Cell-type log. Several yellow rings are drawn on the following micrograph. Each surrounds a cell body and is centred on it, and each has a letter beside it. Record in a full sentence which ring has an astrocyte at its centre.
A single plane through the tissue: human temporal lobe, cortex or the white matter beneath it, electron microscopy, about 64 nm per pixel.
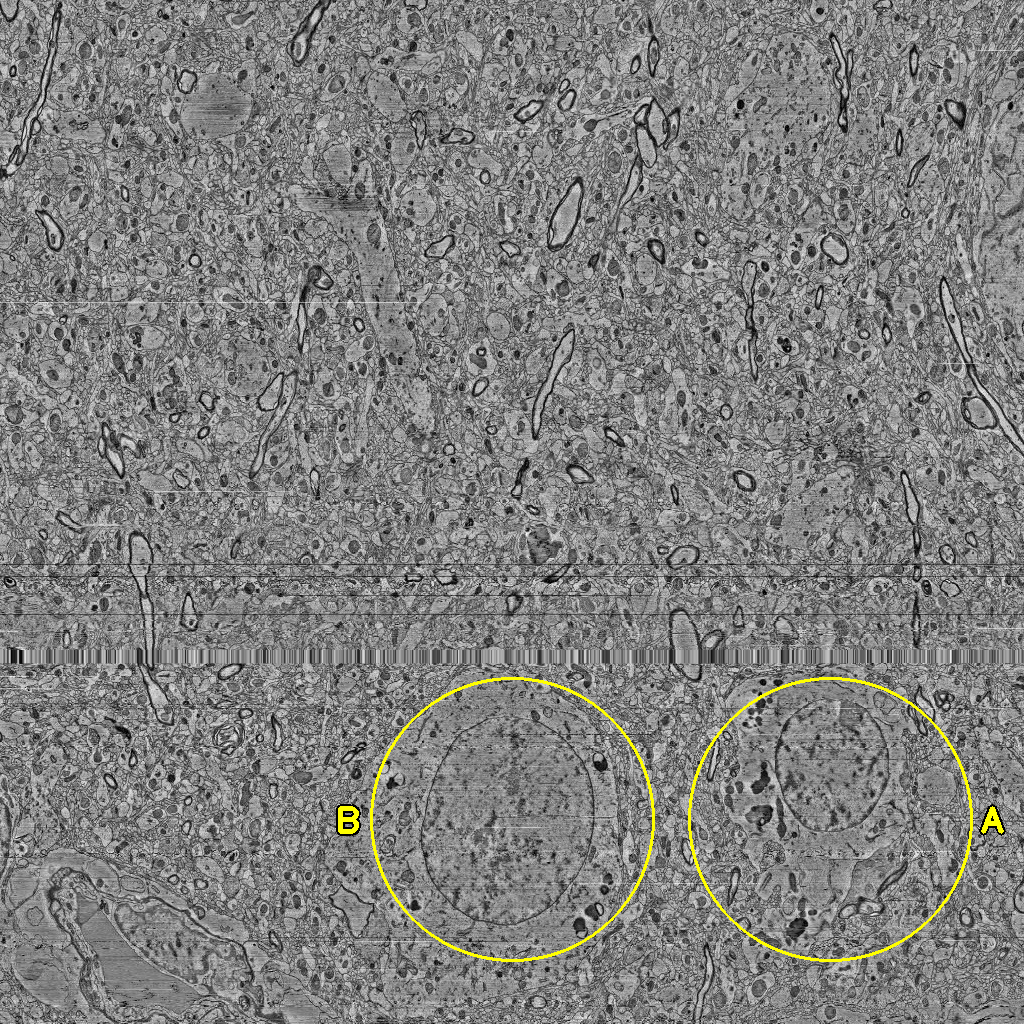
Ring A has it at its centre.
